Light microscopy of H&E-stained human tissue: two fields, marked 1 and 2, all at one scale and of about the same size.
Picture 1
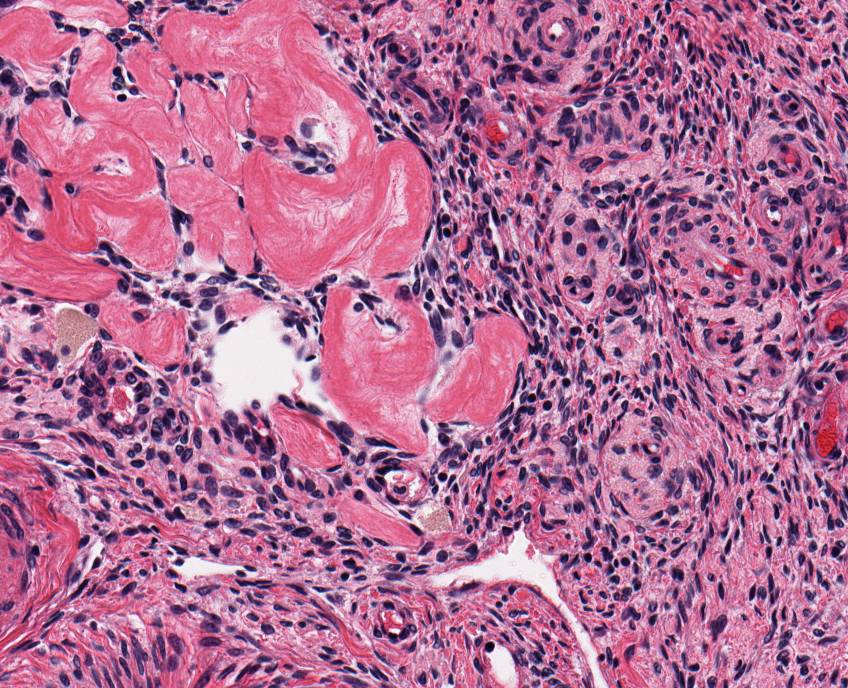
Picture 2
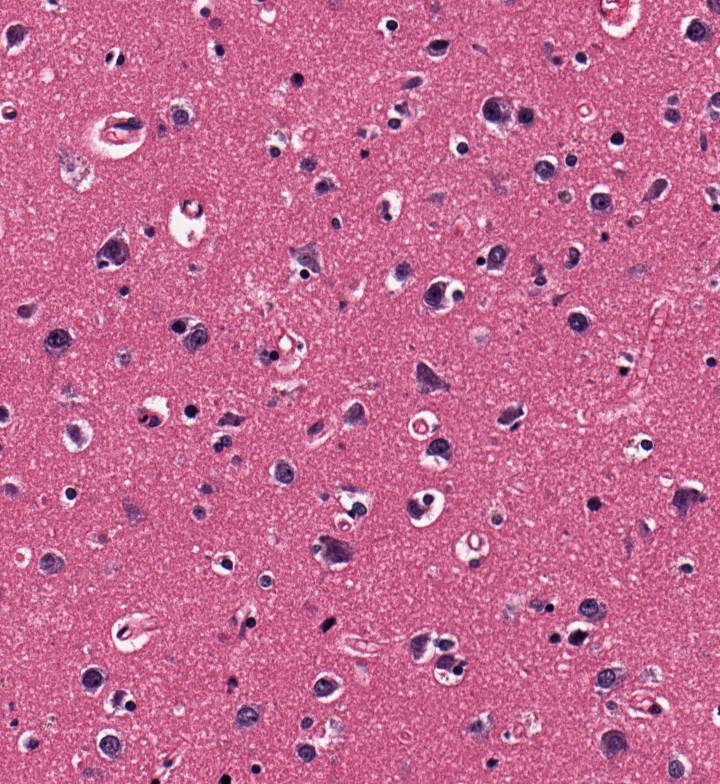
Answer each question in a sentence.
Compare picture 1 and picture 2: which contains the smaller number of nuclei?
It is picture 2 that has fewer nuclei in it.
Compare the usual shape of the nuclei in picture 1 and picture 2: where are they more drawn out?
It is picture 1 whose nuclei are the more elongated.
